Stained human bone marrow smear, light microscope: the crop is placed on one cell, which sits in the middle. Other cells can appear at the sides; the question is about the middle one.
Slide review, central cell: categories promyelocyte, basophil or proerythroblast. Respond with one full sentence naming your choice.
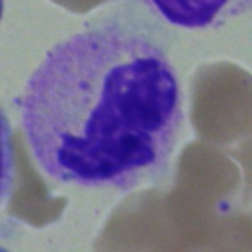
Answering briefly, the cell in the middle is a basophil.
